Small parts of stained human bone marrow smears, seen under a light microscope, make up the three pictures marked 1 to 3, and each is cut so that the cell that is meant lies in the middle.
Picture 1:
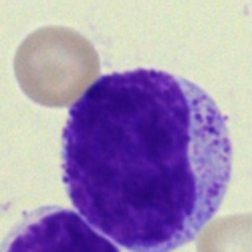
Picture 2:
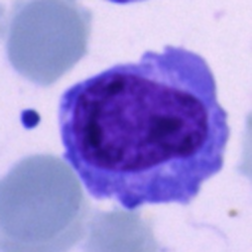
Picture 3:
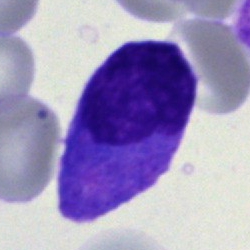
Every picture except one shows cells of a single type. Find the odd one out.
1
